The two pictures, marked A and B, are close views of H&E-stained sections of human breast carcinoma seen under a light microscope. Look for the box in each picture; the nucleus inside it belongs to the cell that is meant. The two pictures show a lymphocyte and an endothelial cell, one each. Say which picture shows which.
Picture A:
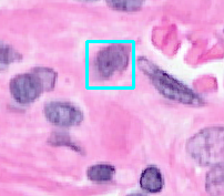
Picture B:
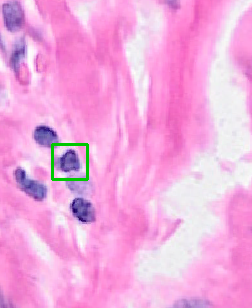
A: endothelial cell
B: lymphocyte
